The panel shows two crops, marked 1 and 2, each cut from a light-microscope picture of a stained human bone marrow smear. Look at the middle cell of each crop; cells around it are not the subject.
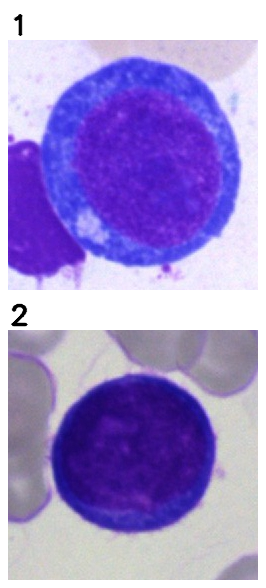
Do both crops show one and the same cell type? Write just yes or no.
yes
